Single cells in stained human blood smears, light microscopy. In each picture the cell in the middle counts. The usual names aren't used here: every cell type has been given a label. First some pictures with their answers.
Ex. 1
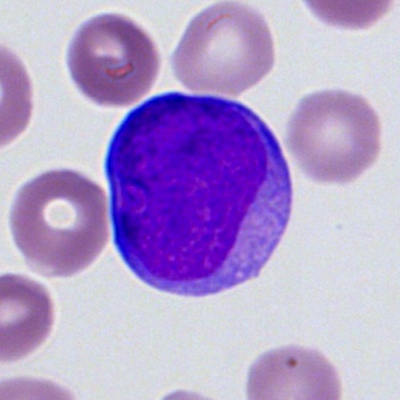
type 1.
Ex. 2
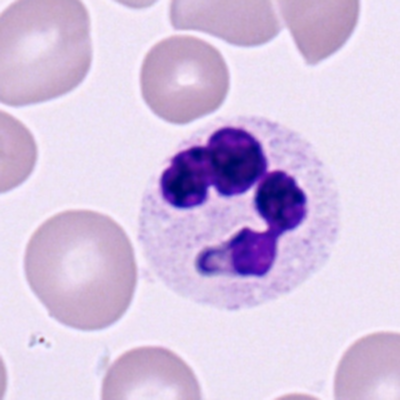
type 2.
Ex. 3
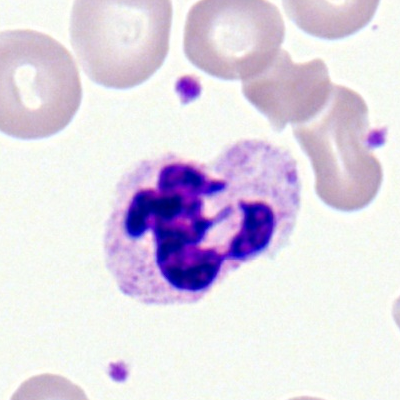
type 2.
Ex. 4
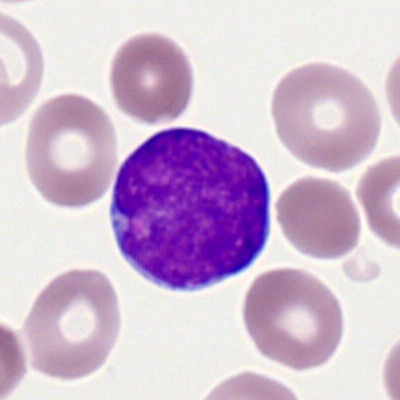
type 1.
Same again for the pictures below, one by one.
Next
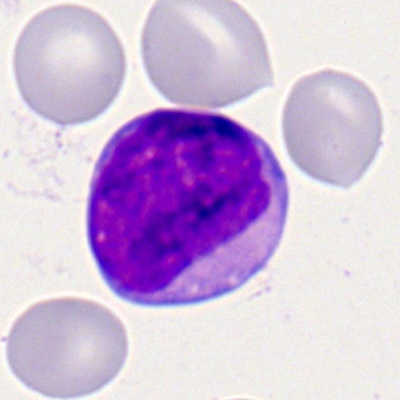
type 1.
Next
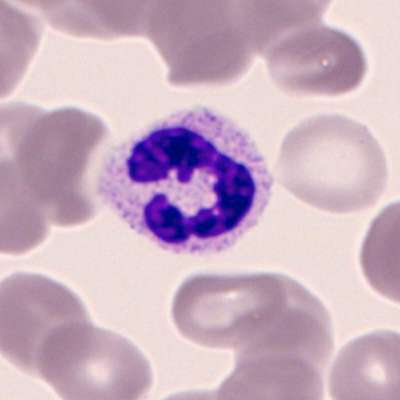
type 2.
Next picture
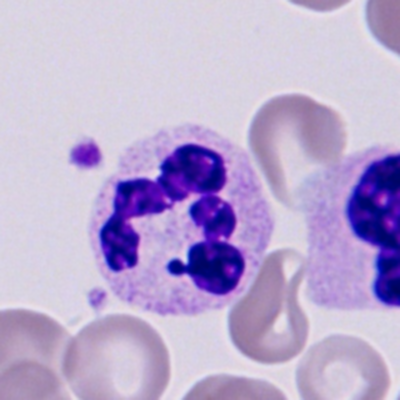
type 2.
